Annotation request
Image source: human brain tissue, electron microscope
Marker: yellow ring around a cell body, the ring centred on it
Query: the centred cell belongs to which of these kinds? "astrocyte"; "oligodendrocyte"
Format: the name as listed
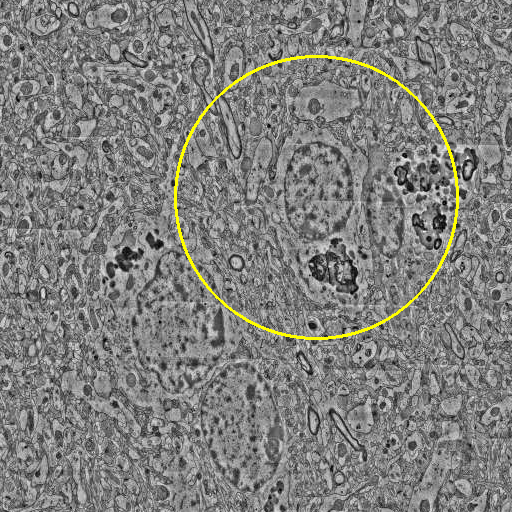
astrocyte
